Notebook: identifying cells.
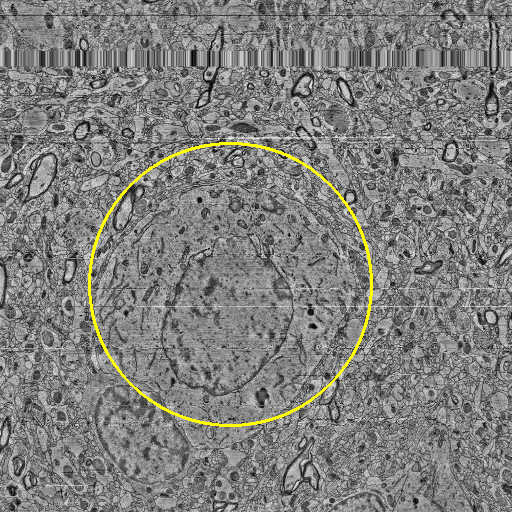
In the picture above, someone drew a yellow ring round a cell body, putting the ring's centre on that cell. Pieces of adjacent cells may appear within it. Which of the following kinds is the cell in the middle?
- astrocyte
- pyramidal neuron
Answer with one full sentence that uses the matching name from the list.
In this picture, the yellow ring is centred on the body of a pyramidal neuron.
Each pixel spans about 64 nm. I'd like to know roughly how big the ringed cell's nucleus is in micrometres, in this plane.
In this plane the nucleus spans approximately 11 by 8 micrometers.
